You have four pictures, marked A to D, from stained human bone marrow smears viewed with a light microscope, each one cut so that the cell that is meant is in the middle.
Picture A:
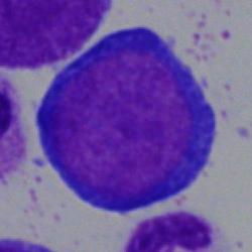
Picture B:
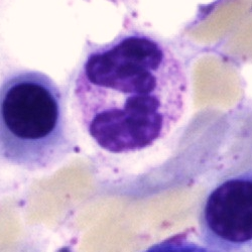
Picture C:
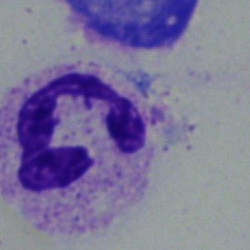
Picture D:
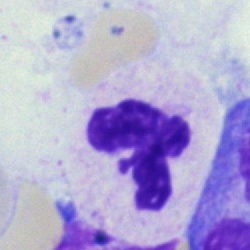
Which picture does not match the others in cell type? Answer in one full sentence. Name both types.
Unlike the rest, which show segmented neutrophils, picture A shows a proerythroblast.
